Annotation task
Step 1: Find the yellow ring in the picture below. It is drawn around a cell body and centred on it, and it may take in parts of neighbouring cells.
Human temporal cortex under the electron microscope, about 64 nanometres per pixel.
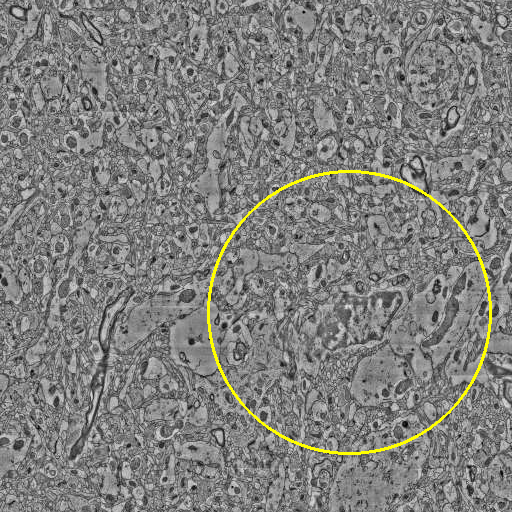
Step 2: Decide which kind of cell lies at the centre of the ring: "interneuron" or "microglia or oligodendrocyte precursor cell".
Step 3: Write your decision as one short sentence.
The kind of cell at the ring's centre is a microglial cell or oligodendrocyte precursor cell.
